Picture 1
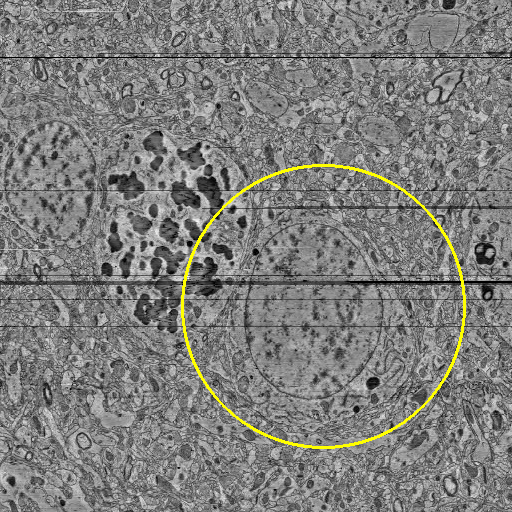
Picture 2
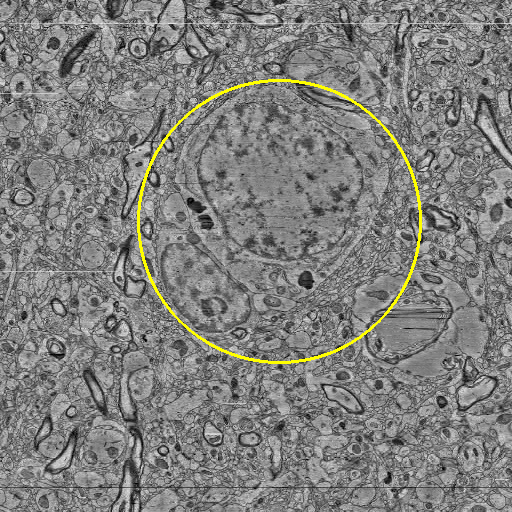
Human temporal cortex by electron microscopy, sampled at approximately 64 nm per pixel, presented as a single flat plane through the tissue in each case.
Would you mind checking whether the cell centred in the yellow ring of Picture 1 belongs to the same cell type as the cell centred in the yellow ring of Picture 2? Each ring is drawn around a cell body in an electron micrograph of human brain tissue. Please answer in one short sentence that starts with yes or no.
No, the two cells are of two types.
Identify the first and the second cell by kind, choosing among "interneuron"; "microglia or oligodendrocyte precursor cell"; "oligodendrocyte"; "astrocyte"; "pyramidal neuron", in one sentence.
The one in the first picture is a pyramidal neuron, while the one in the second is an interneuron.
